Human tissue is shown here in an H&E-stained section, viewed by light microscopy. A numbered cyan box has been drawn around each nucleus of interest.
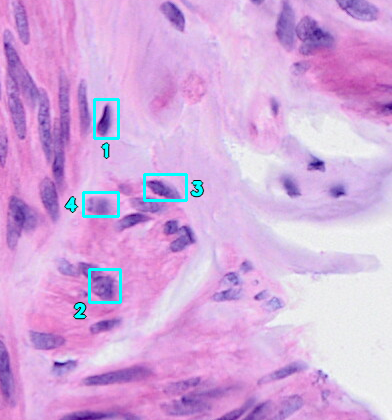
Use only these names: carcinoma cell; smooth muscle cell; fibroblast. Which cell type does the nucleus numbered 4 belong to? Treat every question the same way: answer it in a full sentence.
The cell identified by the number 4 is a smooth muscle cell.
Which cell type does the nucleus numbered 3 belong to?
Corresponding to a smooth muscle cell is the cell labelled 3.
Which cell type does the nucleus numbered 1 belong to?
The nucleus labeled 1 belongs to a fibroblast.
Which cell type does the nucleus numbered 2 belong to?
At number 2, the marked cell is a smooth muscle cell.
